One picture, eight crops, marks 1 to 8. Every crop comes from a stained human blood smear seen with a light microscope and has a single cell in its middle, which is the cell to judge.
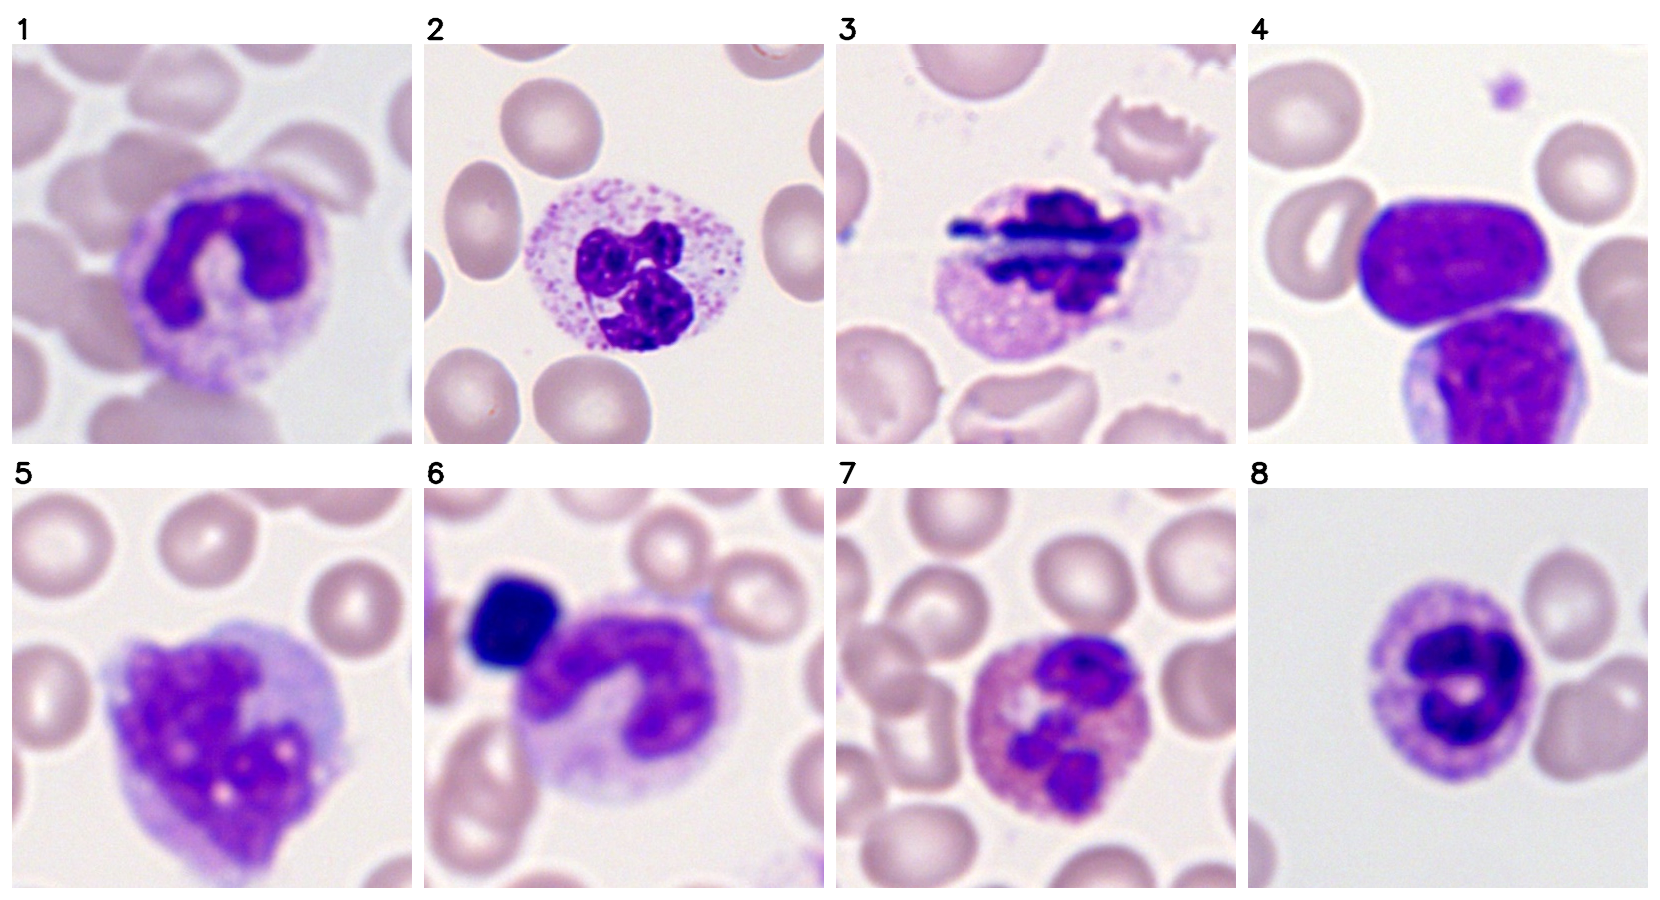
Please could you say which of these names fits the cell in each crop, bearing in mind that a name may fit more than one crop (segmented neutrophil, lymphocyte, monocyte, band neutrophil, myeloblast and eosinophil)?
1: band neutrophil
2: segmented neutrophil
3: segmented neutrophil
4: myeloblast
5: monocyte
6: band neutrophil
7: eosinophil
8: band neutrophil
